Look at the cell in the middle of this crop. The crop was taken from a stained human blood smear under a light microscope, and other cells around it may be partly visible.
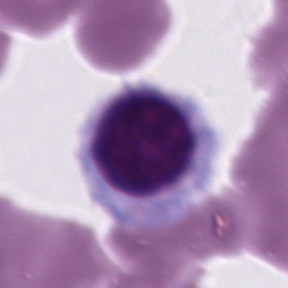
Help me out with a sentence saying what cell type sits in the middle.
The centrally placed cell is classified as a hairy cell.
